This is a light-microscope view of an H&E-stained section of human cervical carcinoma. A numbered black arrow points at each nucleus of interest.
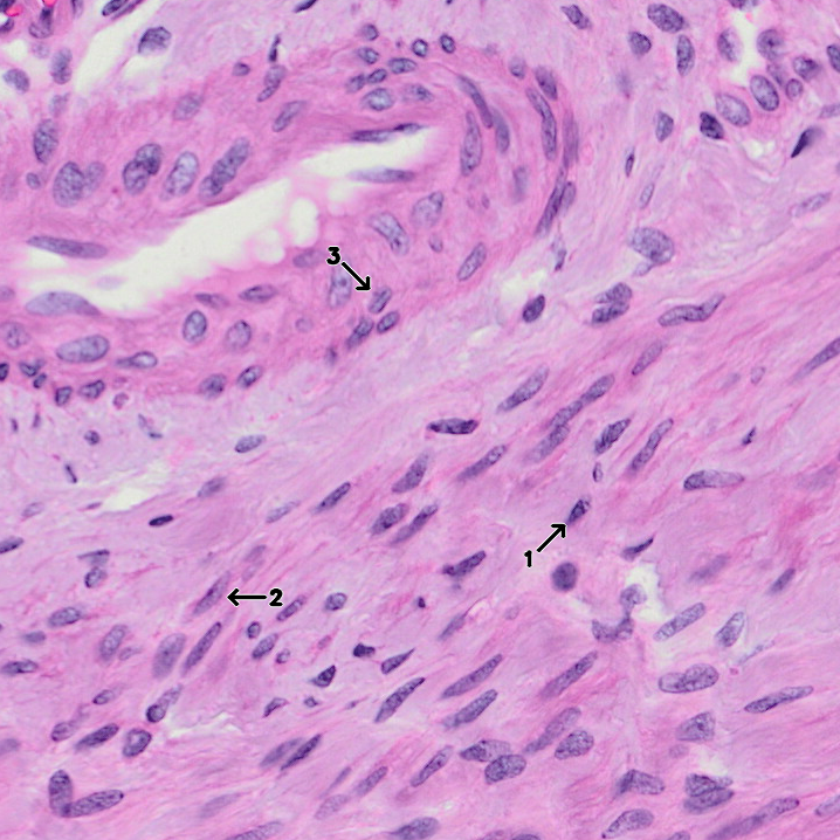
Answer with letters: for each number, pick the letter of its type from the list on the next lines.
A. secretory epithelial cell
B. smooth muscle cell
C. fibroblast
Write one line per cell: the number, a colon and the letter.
1: C
2: B
3: B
